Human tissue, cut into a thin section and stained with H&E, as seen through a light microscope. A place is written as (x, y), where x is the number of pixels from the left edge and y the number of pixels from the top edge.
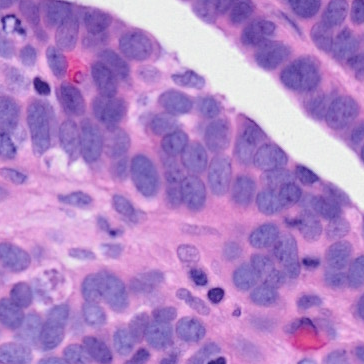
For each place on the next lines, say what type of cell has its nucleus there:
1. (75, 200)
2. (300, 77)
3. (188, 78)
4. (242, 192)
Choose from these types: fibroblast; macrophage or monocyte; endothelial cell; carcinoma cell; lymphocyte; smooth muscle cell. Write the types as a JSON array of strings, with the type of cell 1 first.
["fibroblast", "carcinoma cell", "macrophage or monocyte", "carcinoma cell"]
